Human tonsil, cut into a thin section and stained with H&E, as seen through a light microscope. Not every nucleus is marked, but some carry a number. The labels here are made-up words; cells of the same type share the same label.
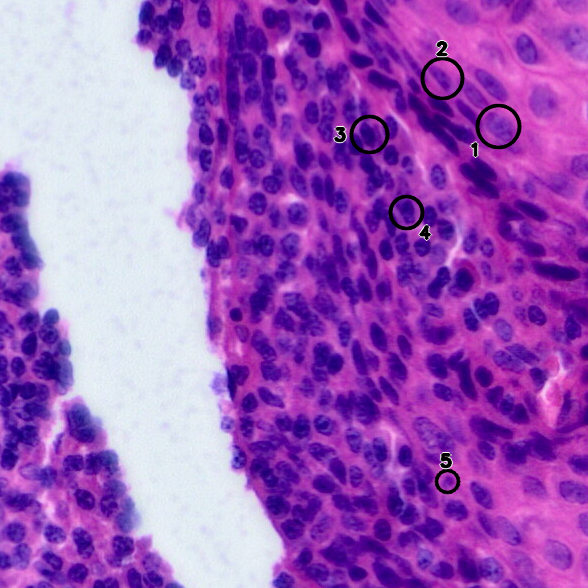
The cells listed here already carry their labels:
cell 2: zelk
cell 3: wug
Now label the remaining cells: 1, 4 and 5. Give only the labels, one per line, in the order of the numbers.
zelk
wug
zelk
